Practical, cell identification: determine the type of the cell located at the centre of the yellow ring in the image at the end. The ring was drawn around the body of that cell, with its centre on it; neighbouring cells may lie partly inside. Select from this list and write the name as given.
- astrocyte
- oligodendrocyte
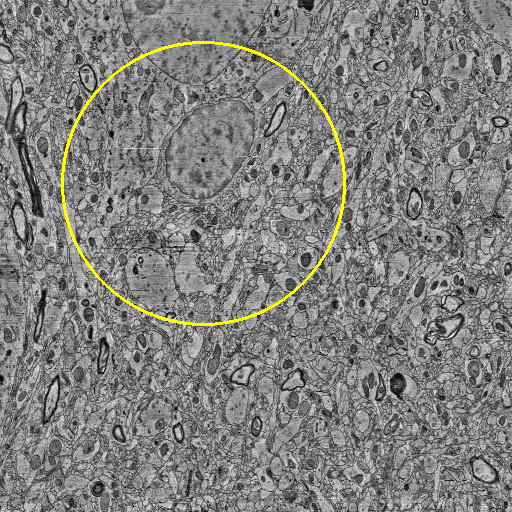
oligodendrocyte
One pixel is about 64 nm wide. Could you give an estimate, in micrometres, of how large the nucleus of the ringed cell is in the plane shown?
In this plane the nucleus is about 7 micrometres by 5.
